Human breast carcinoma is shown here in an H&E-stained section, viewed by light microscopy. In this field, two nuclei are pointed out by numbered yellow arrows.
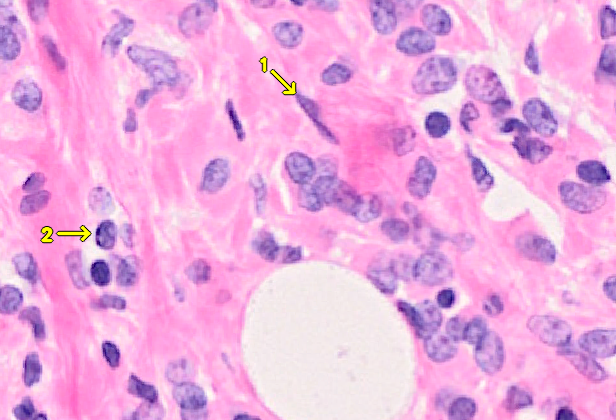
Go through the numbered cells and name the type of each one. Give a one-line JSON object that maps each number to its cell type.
{"1": "fibroblast", "2": "lymphocyte"}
